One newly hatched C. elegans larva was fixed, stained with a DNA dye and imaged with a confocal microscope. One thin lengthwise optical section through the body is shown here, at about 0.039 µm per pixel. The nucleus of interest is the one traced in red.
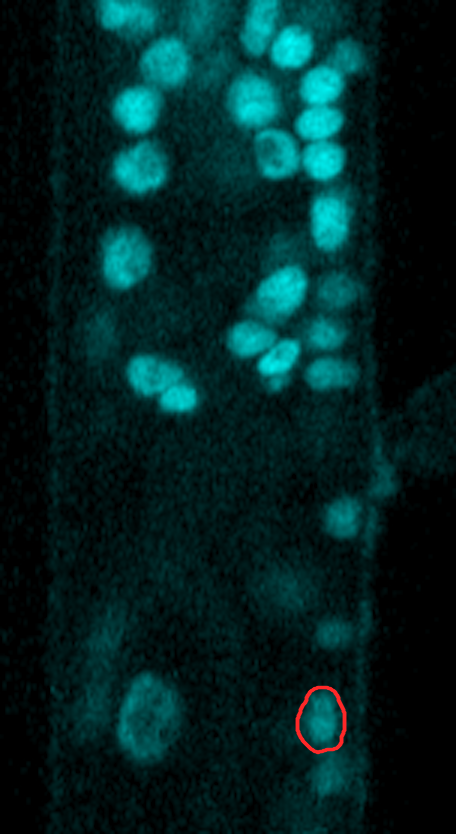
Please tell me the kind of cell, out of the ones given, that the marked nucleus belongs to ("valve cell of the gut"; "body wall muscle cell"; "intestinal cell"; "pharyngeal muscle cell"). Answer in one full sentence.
The cell with the marked nucleus is a body wall muscle cell.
